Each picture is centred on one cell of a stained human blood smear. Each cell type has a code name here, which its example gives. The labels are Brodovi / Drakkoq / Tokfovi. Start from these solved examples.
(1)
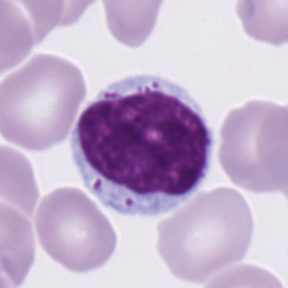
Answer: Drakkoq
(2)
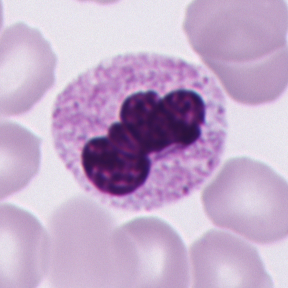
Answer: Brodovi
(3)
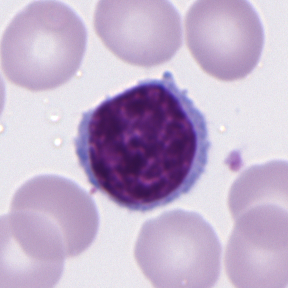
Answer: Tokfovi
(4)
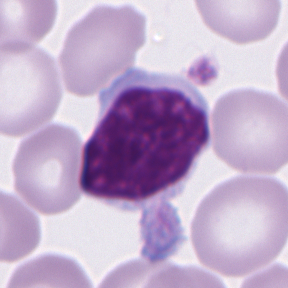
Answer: Tokfovi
